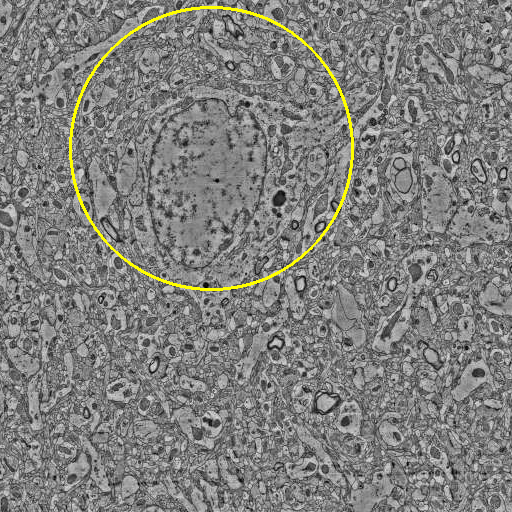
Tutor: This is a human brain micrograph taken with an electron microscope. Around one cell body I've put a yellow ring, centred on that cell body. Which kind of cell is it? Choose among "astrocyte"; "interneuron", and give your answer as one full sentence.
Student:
Going by your list, the cell centred in the yellow ring is an interneuron.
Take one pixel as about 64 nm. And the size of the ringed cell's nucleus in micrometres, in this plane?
In this plane, roughly 11 by 8 micrometres.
